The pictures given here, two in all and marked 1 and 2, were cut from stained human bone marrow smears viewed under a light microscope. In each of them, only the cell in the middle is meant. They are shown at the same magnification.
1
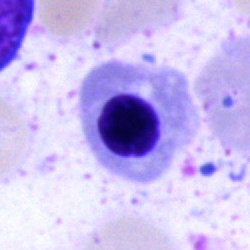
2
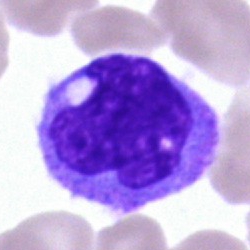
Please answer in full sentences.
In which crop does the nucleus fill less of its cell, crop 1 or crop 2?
It is the cell in crop 1 that is filled less by its nucleus.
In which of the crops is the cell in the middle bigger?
The cell in crop 2 is larger, with about 2 times the area of the one in crop 1.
